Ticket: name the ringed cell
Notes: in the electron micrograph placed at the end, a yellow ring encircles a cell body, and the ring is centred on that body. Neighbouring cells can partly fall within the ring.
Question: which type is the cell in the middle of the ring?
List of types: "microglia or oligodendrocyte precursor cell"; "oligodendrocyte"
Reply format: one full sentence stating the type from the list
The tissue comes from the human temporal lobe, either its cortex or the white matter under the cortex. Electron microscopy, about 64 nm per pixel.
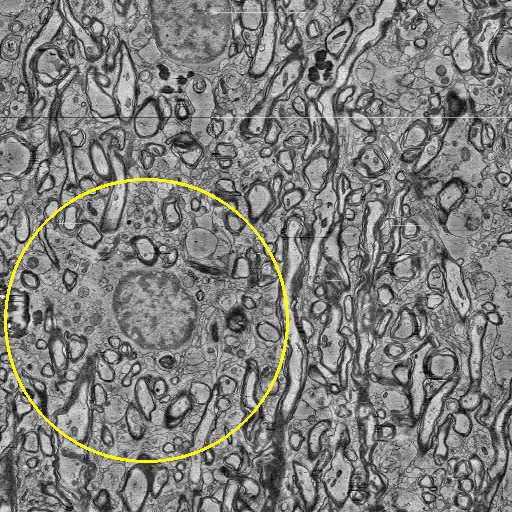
The cell sitting at the centre of the yellow ring is an oligodendrocyte.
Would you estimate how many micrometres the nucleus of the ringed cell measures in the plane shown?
Roughly 6 by 5 micrometres in this plane, for the nucleus of the ringed cell.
